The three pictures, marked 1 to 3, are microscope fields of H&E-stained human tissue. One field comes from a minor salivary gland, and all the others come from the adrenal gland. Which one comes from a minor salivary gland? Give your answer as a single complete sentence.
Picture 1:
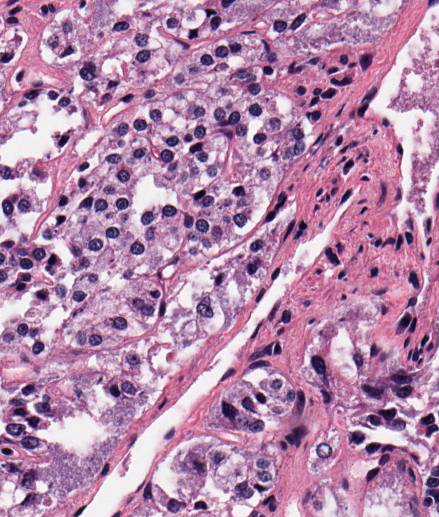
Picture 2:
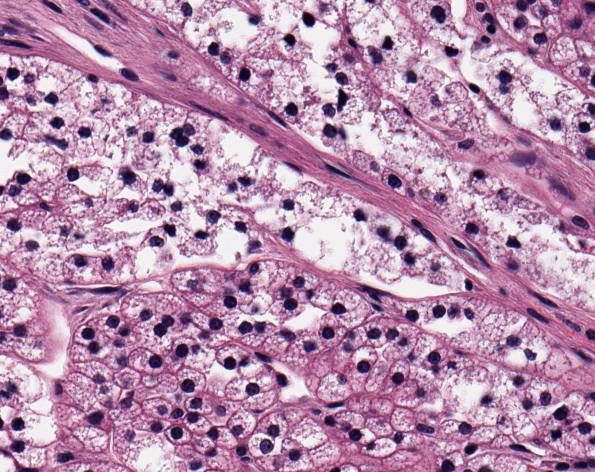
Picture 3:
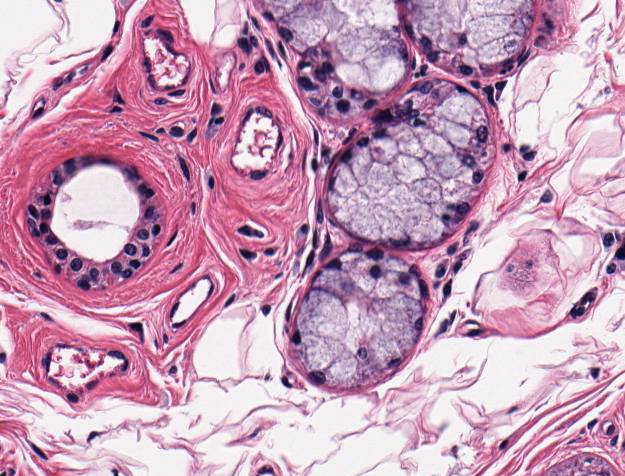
The one that comes from a minor salivary gland is picture 3.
